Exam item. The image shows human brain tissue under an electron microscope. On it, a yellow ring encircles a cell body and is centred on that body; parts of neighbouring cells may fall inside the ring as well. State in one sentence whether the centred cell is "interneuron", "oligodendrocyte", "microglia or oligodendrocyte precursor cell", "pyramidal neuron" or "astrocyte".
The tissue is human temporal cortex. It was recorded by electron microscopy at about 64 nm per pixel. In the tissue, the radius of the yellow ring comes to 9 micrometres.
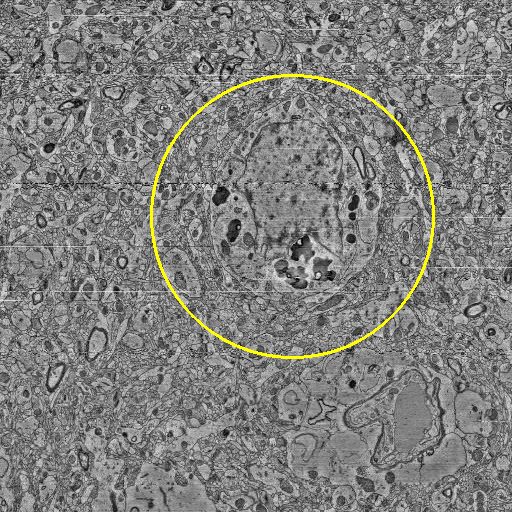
The cell body centred in the ring is an interneuron.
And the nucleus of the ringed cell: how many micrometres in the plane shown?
Roughly 9 by 6 micrometres in this plane, for the nucleus of the ringed cell.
